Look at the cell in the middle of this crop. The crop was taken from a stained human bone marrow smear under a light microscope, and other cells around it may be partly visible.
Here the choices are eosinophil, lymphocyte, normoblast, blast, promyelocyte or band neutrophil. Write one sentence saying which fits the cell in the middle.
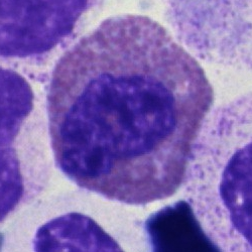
What sits at the centre of this crop is an eosinophil.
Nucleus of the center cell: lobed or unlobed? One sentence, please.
If you check the nucleus, you will find one compact mass, round, oval or kidney-shaped.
